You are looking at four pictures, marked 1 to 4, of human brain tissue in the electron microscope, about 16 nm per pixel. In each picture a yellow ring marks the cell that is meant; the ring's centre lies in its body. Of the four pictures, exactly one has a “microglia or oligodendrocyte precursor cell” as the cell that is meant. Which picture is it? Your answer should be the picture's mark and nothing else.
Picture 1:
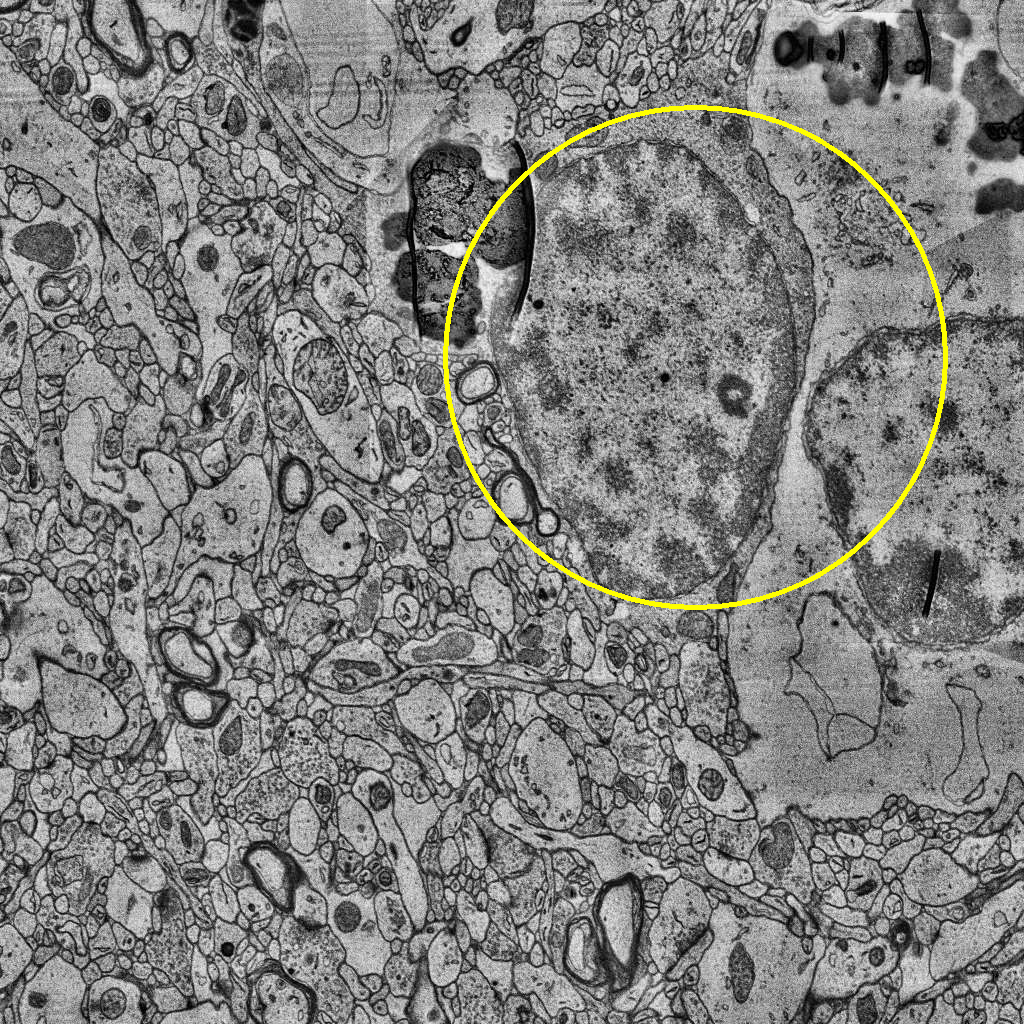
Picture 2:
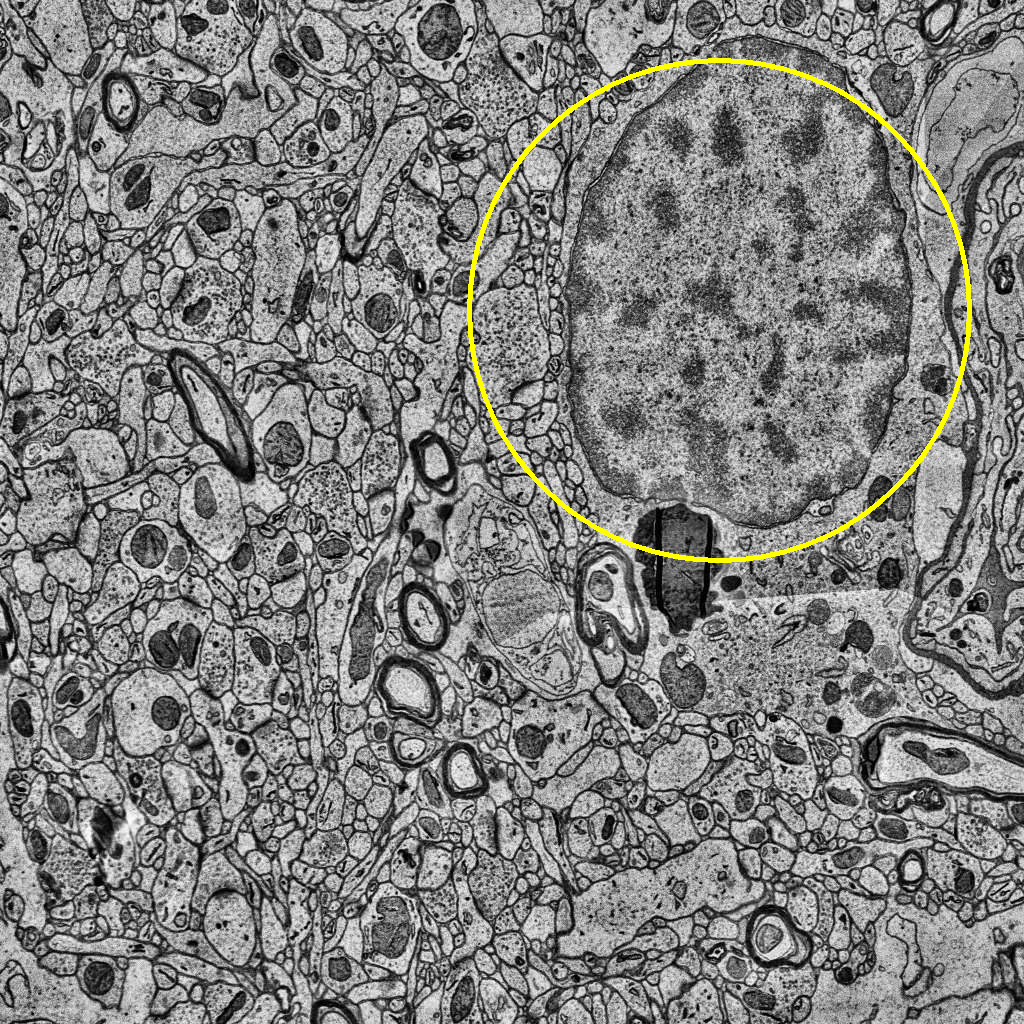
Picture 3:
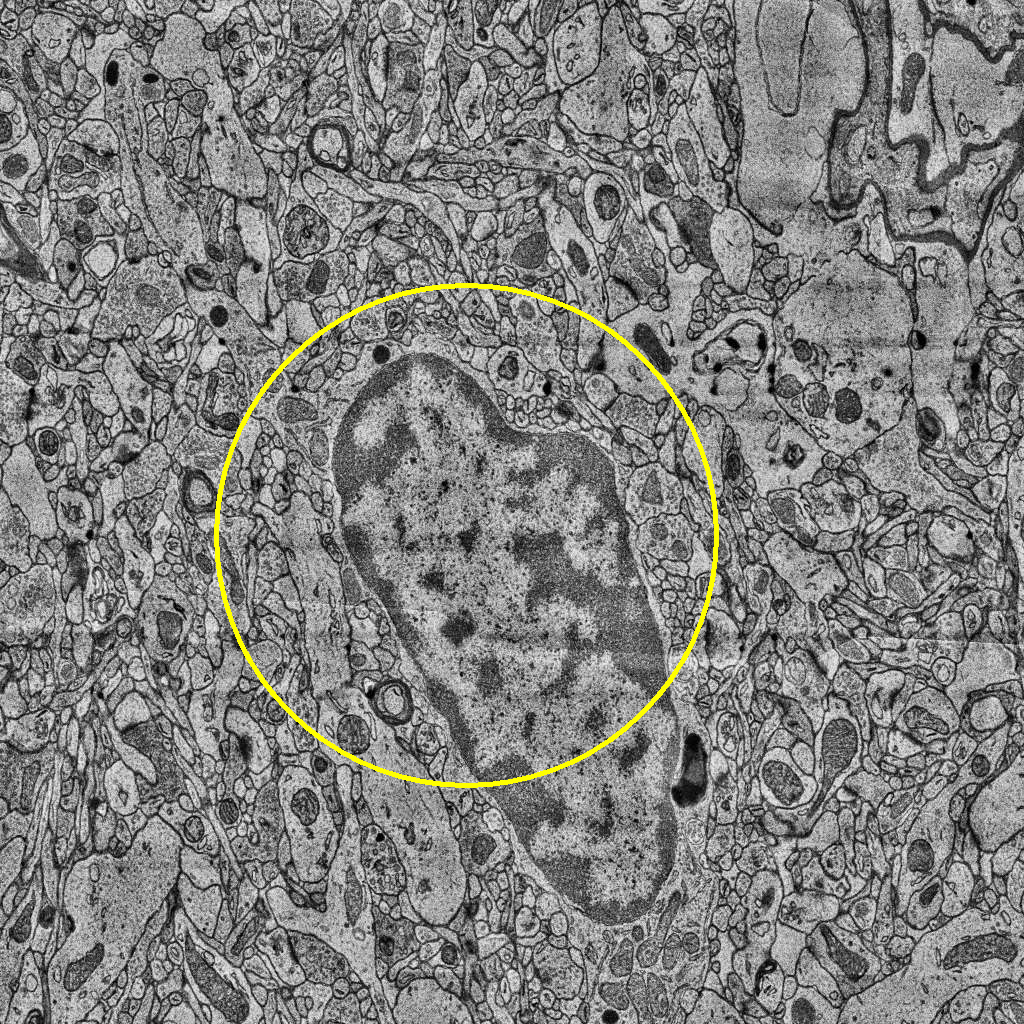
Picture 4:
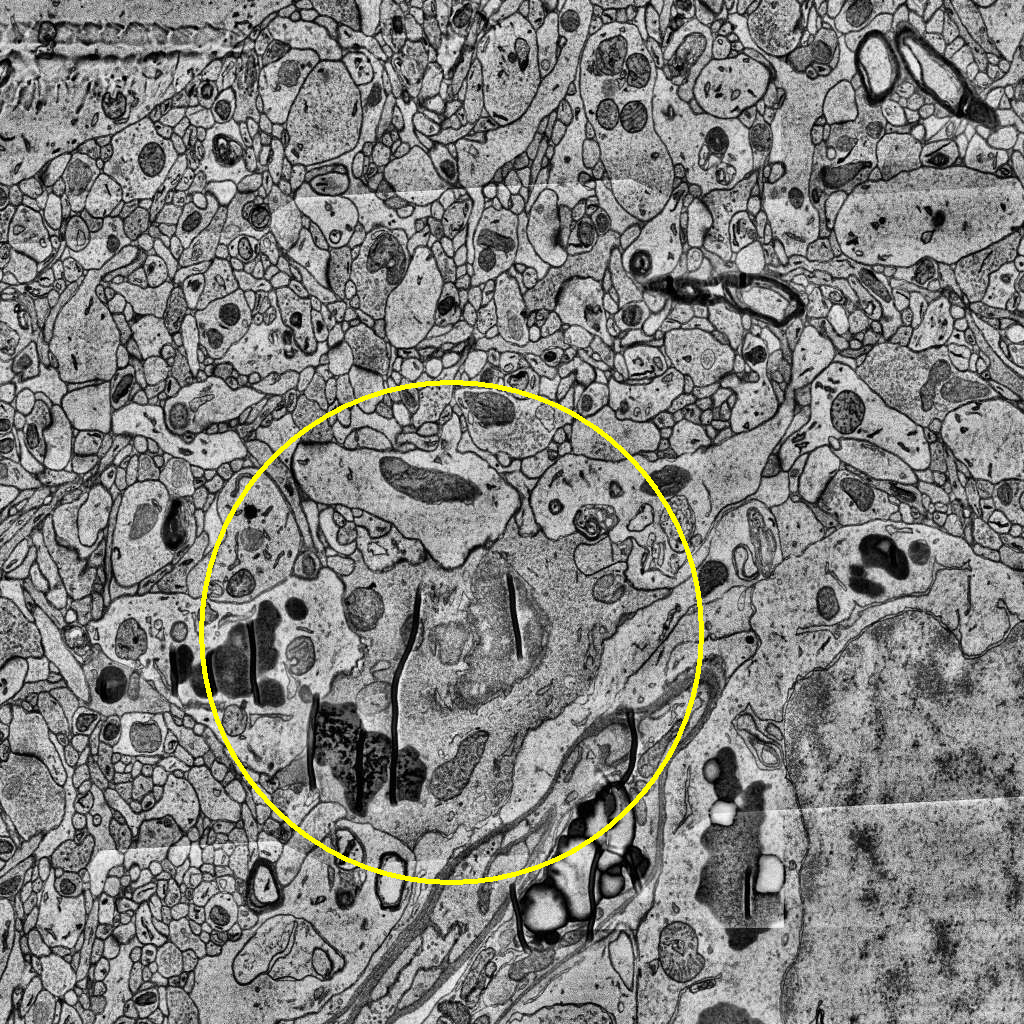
3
